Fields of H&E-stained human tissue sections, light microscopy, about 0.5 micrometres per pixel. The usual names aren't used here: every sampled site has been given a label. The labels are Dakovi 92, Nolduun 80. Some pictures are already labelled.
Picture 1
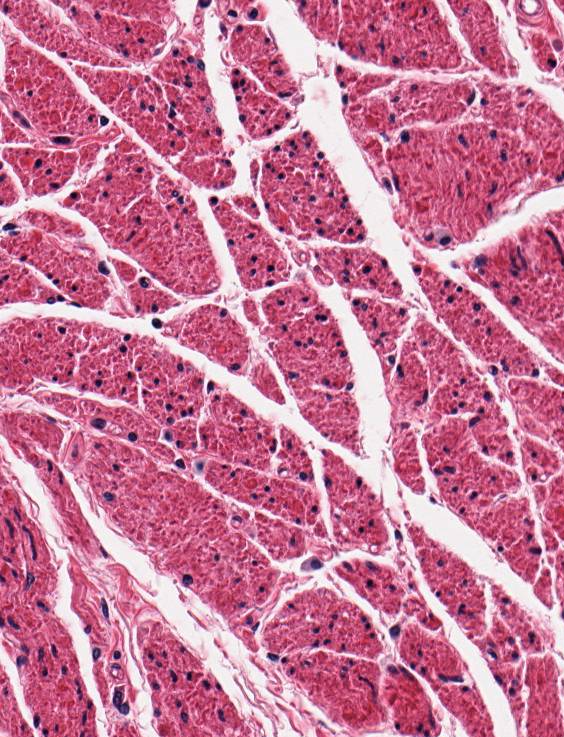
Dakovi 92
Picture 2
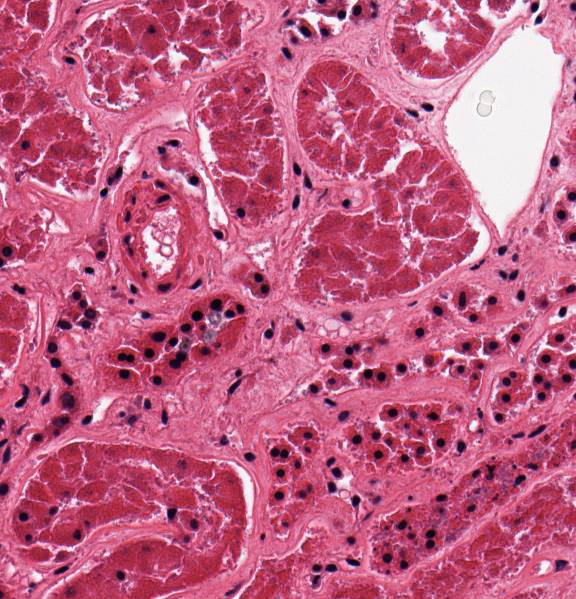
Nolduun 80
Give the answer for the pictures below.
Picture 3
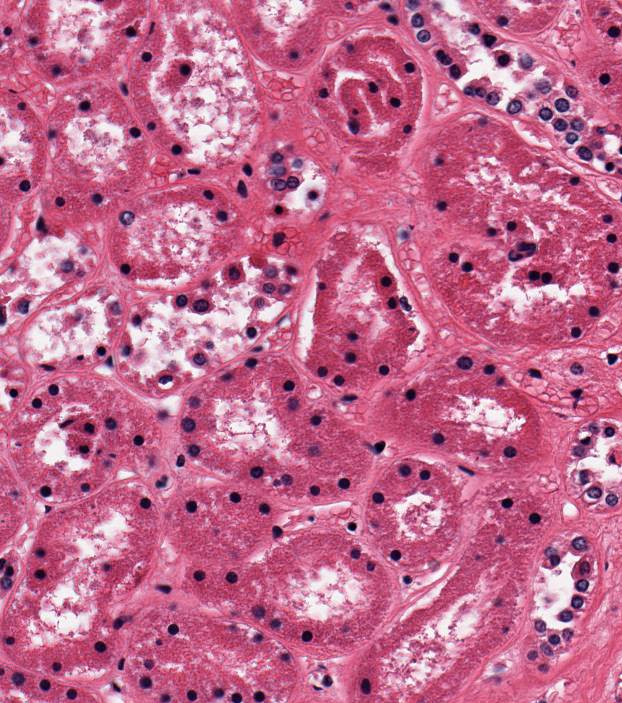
Nolduun 80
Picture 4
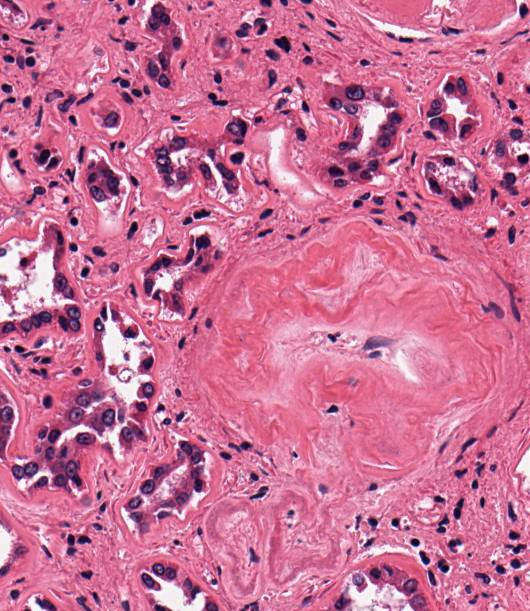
Nolduun 80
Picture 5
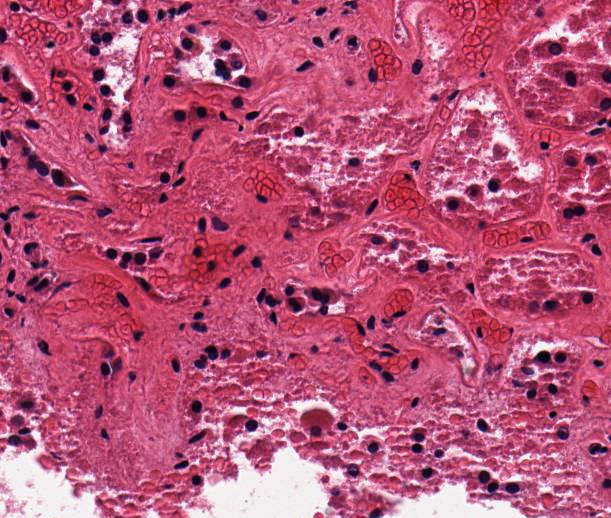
Nolduun 80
